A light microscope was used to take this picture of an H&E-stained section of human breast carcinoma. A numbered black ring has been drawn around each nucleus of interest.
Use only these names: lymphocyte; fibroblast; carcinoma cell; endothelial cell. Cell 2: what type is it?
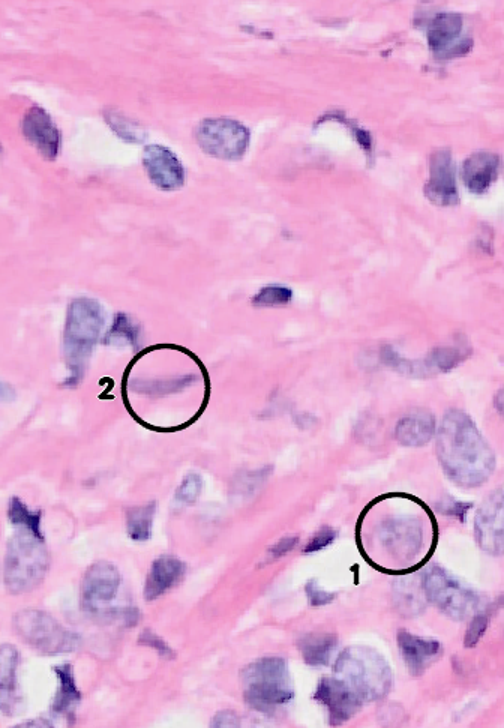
fibroblast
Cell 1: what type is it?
carcinoma cell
